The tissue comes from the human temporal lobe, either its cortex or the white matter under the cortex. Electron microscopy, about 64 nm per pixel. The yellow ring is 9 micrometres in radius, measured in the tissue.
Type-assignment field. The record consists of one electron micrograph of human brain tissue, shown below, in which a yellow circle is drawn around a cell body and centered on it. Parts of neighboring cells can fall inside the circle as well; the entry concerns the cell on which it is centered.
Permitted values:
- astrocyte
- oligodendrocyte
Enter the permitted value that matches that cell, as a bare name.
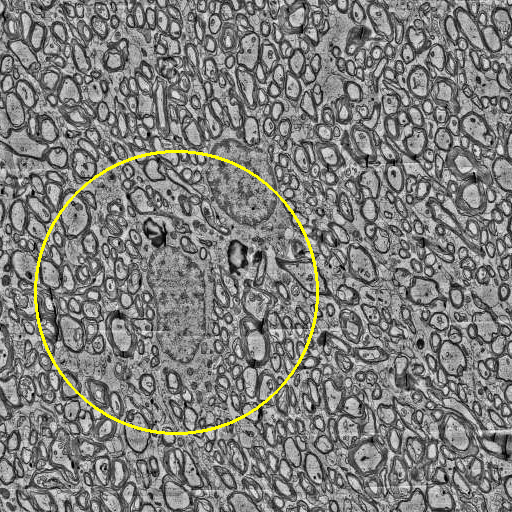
oligodendrocyte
